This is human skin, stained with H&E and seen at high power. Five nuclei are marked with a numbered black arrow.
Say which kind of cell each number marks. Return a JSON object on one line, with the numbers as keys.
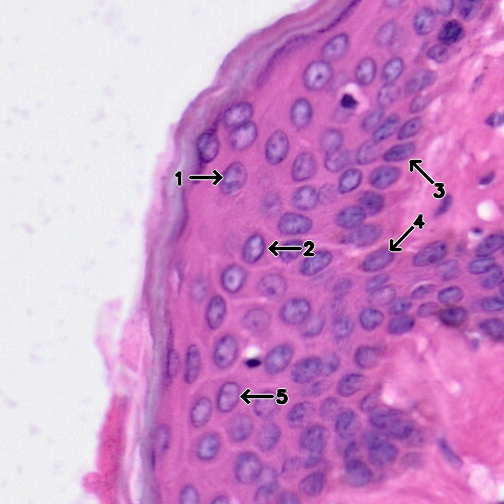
{"1": "suprabasal keratinocyte", "2": "suprabasal keratinocyte", "3": "basal keratinocyte", "4": "basal keratinocyte", "5": "suprabasal keratinocyte"}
